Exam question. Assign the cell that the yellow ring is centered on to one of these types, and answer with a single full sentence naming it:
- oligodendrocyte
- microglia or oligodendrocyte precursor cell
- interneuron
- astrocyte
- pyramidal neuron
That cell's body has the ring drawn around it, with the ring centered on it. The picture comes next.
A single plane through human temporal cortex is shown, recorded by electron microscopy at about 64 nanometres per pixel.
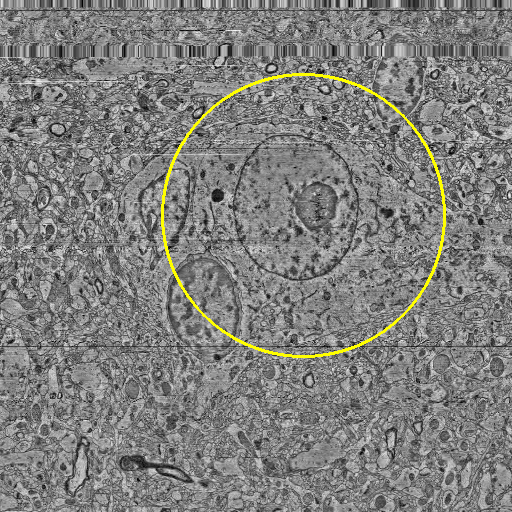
In the micrograph, the cell the yellow ring is centered on is a pyramidal neuron.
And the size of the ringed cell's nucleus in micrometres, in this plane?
The nucleus is approximately 10 micrometers long by 8 micrometers wide in this plane.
